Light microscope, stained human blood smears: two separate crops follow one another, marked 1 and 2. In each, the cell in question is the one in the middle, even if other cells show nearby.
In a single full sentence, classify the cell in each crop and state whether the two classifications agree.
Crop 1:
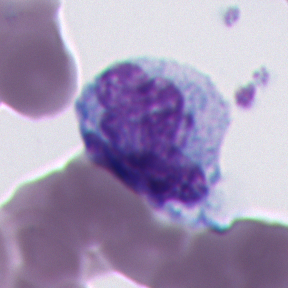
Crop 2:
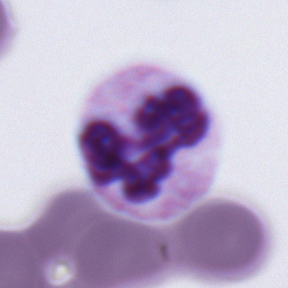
No, crop 2 holds a segmented neutrophil, while crop 1 holds a monocyte.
